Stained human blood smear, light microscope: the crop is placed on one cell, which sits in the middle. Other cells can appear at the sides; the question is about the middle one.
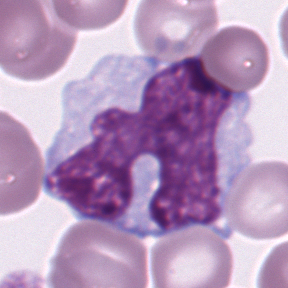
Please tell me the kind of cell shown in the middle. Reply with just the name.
monocyte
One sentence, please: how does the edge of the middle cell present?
Its surface contour departs from smoothness through ragged edges or outward projections.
